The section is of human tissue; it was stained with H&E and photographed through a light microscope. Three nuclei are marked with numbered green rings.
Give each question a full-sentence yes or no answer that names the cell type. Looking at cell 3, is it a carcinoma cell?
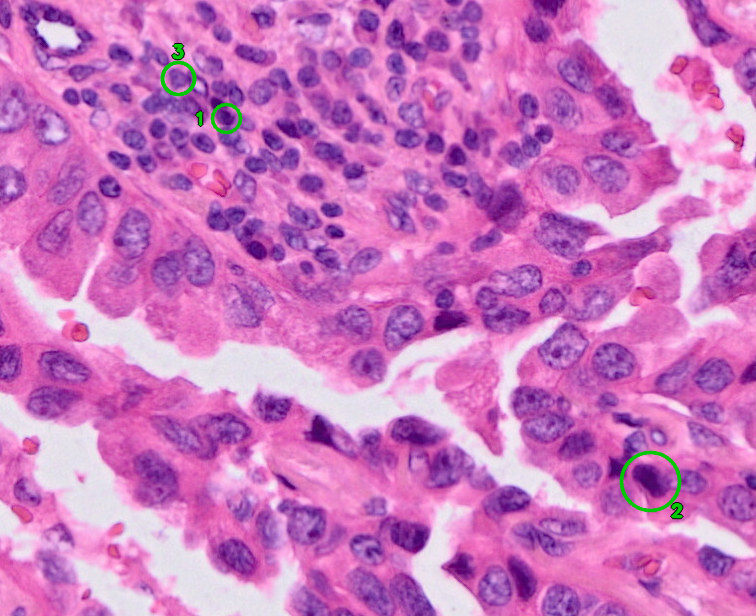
No; cell 3 is a lymphocyte, not a carcinoma cell.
